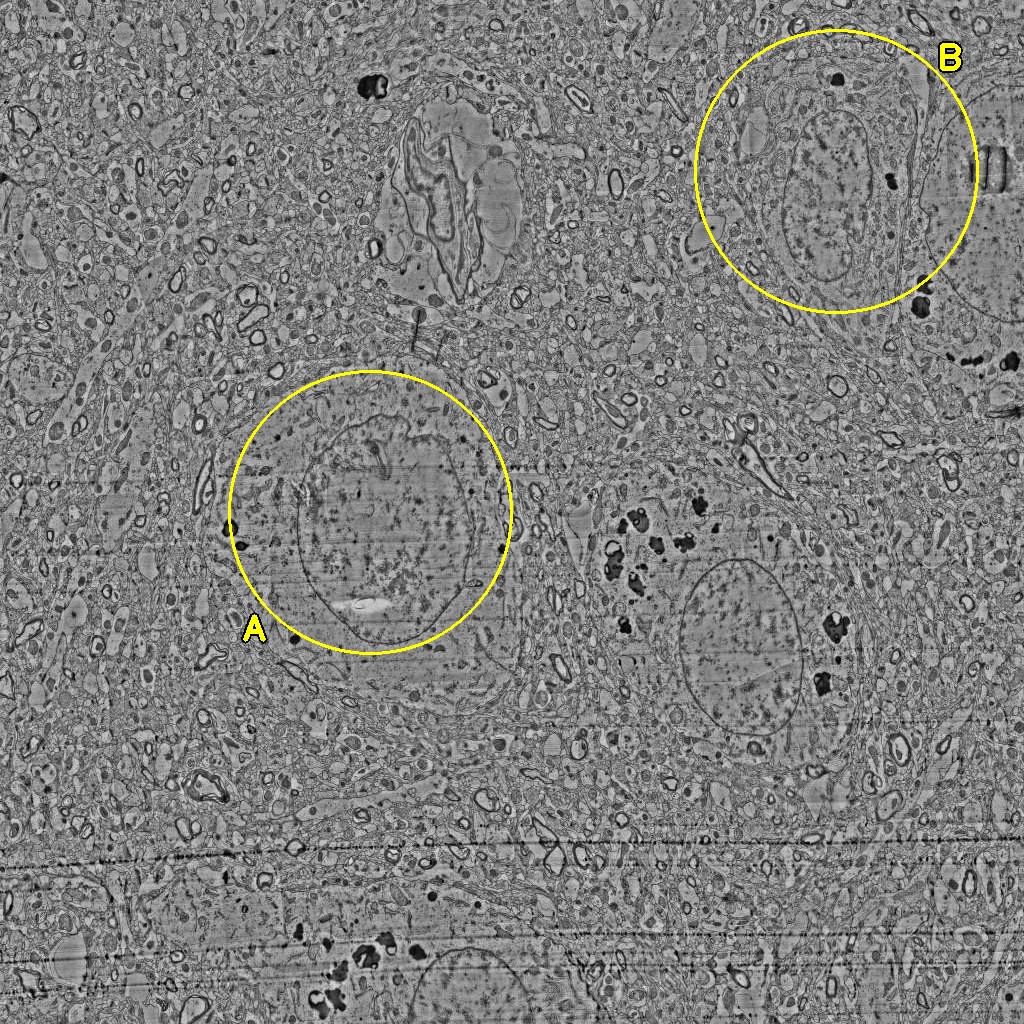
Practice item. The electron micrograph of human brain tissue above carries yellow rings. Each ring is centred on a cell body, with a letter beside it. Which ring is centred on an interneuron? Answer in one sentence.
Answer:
Ring B is centred on it.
